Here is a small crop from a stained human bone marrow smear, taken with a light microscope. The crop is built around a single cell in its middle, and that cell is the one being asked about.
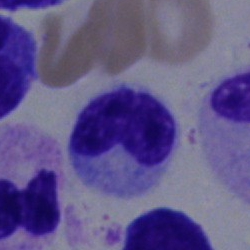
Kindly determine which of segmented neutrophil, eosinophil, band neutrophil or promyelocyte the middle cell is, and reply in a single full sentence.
Where the crop is centred, there is a band neutrophil.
